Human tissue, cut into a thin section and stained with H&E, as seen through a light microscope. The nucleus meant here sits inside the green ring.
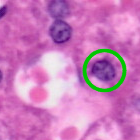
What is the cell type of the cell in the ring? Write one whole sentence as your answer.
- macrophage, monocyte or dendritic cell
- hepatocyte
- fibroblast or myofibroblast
In this preparation, the cell in the ring is a hepatocyte.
